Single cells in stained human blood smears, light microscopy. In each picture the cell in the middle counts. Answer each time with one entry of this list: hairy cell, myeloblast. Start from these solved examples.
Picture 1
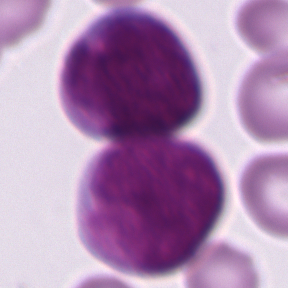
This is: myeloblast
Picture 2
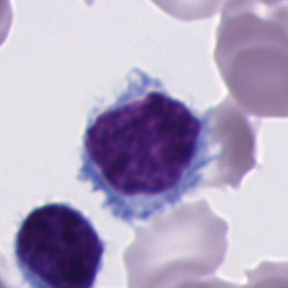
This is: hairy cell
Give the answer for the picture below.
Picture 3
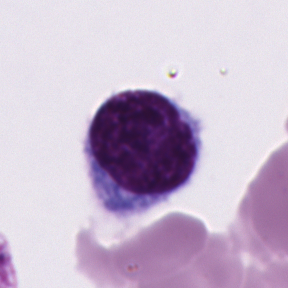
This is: hairy cell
